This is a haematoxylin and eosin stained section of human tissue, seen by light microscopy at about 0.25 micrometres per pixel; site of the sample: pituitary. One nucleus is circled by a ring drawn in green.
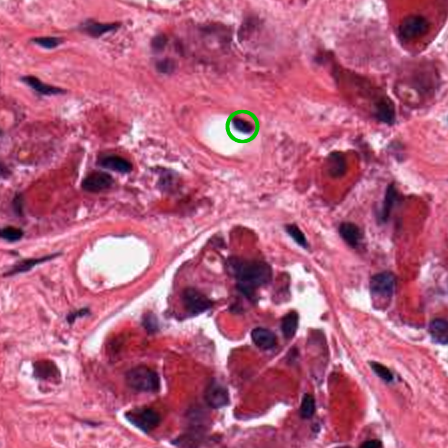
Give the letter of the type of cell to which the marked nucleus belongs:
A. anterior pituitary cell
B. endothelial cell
B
